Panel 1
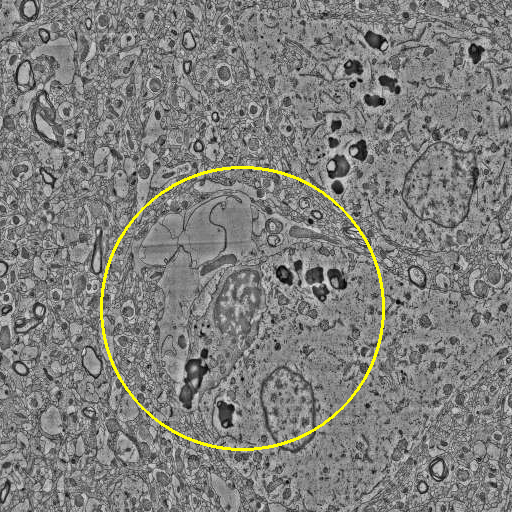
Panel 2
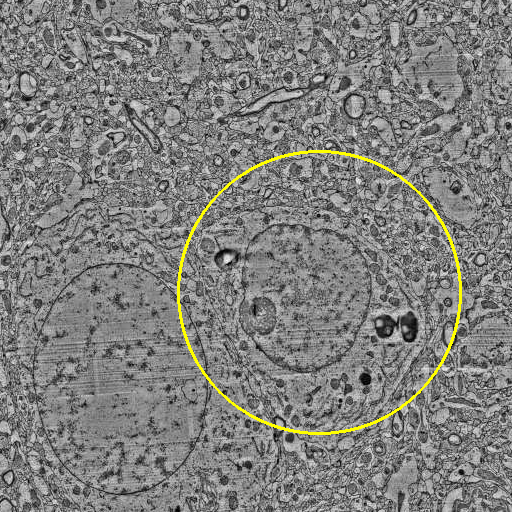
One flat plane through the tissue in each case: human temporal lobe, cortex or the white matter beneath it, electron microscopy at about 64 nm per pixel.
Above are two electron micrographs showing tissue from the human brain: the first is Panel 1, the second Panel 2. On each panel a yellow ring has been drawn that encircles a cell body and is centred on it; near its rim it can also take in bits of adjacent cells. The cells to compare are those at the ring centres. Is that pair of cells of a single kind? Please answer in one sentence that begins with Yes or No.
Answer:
No, the ring-centred cells of Panel 1 and Panel 2 belong to two kinds.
